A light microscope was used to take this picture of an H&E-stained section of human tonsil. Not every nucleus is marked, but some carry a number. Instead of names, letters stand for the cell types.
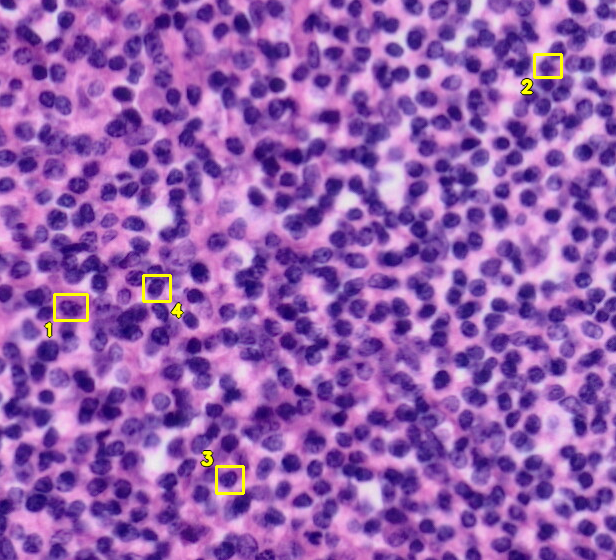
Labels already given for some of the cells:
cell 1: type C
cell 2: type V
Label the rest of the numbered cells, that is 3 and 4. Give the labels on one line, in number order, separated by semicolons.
type V; type V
